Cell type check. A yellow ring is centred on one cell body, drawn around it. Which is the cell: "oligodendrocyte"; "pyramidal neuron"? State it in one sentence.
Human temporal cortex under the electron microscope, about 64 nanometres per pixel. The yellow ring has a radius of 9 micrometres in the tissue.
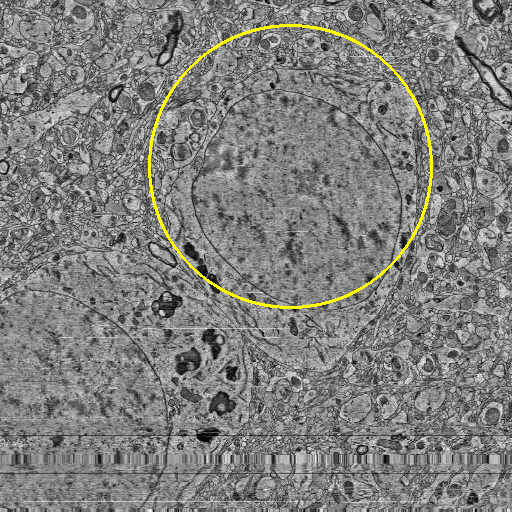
The cell body at the ring's centre belongs to a pyramidal neuron.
